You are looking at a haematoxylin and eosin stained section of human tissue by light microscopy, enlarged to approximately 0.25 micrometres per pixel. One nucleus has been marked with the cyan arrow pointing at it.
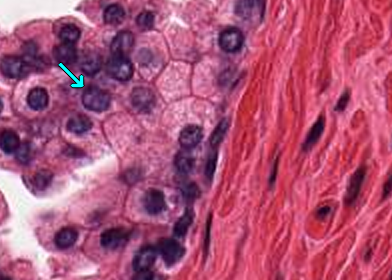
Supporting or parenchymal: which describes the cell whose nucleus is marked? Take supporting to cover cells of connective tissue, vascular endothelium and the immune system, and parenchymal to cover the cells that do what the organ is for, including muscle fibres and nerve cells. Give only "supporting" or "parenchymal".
parenchymal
